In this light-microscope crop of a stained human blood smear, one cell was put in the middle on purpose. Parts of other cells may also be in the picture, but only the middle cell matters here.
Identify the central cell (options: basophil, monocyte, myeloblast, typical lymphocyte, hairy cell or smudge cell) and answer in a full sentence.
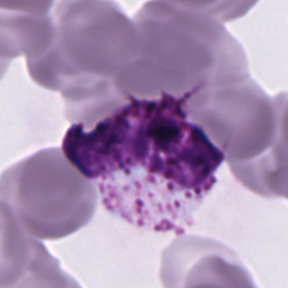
On this slide crop, the central cell is a basophil.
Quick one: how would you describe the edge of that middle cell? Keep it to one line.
Irregular and not smooth, the cell boundary is ragged or drawn out into projections.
